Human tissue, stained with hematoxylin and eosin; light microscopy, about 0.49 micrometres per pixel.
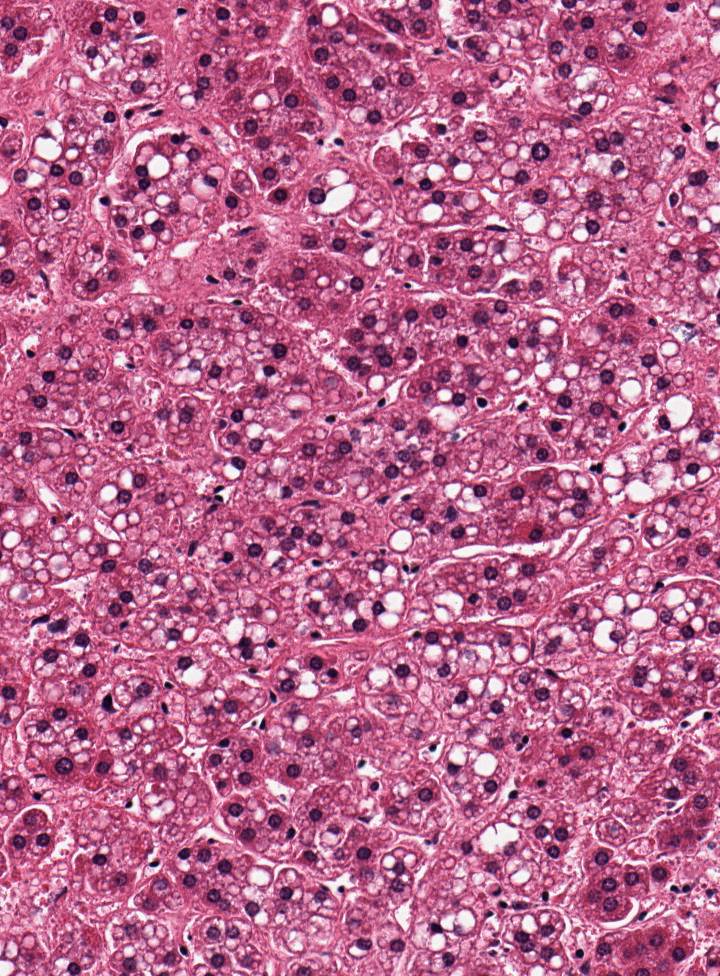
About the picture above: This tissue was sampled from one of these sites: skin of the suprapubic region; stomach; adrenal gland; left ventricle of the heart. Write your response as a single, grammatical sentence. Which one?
The tissue fragment was taken from the adrenal gland.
